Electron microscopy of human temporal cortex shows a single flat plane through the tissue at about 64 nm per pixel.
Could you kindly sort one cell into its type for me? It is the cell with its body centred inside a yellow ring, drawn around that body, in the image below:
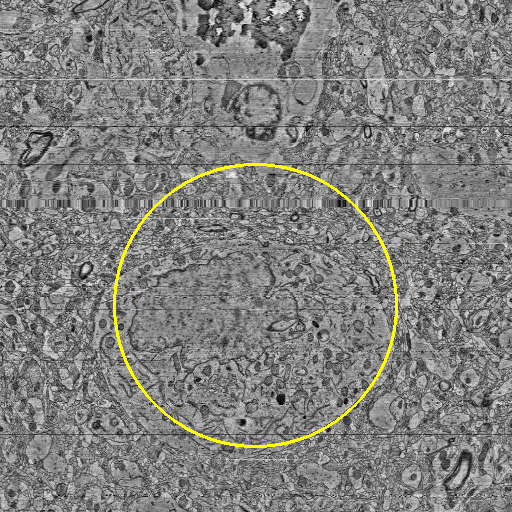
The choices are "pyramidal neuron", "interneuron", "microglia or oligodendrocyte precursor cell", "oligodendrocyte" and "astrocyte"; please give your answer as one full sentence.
The cell whose body lies centred in the yellow ring here is an interneuron.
